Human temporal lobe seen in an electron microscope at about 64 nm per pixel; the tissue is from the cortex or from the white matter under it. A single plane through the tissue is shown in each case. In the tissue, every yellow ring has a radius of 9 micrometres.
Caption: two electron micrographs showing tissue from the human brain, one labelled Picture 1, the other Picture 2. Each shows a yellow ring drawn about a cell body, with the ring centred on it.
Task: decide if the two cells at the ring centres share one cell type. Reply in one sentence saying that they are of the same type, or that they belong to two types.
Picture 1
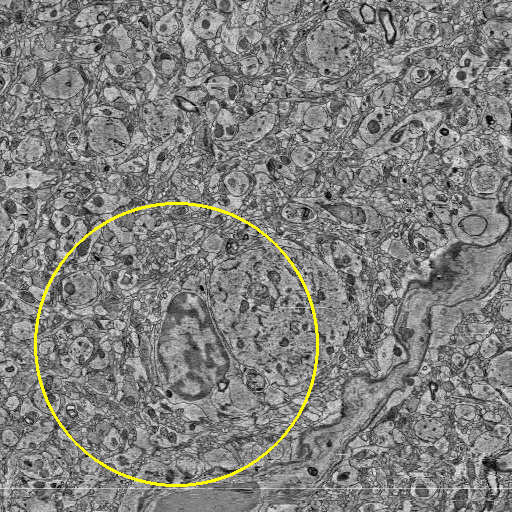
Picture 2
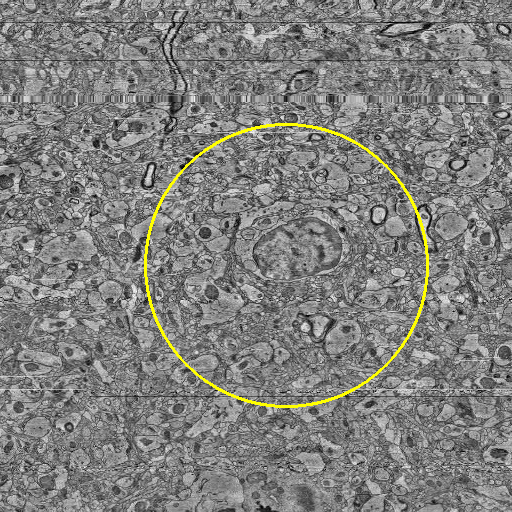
The cells at the ring centres in Picture 1 and Picture 2 are of the same type.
